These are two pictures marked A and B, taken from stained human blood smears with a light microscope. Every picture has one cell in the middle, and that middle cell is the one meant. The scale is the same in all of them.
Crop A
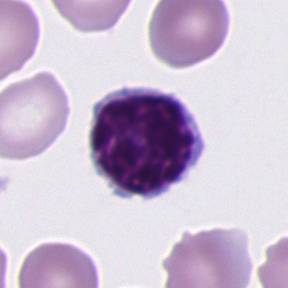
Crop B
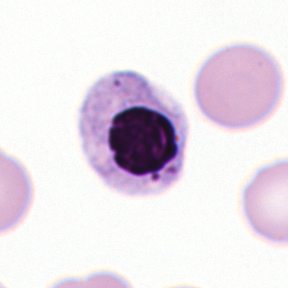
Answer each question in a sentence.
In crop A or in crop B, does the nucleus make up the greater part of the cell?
It is the cell in crop A that is filled more by its nucleus.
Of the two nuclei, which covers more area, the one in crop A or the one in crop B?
Larger is the nucleus in crop A, at roughly 2 times the area of the other.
